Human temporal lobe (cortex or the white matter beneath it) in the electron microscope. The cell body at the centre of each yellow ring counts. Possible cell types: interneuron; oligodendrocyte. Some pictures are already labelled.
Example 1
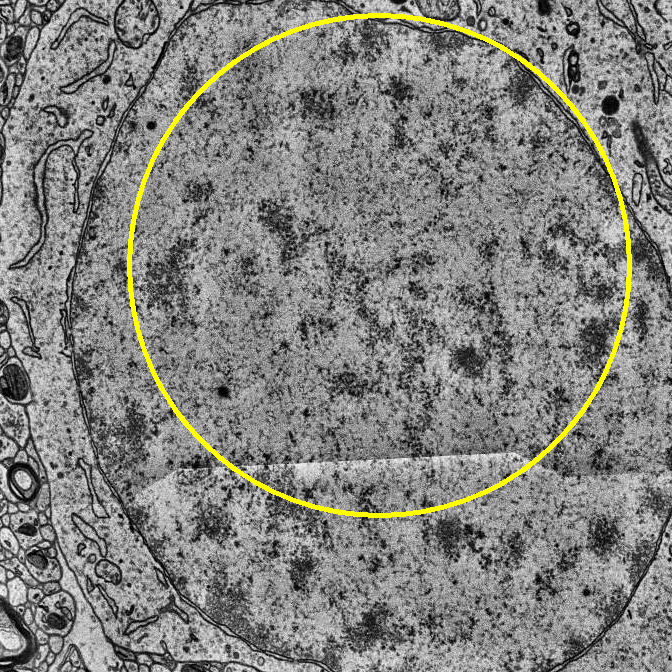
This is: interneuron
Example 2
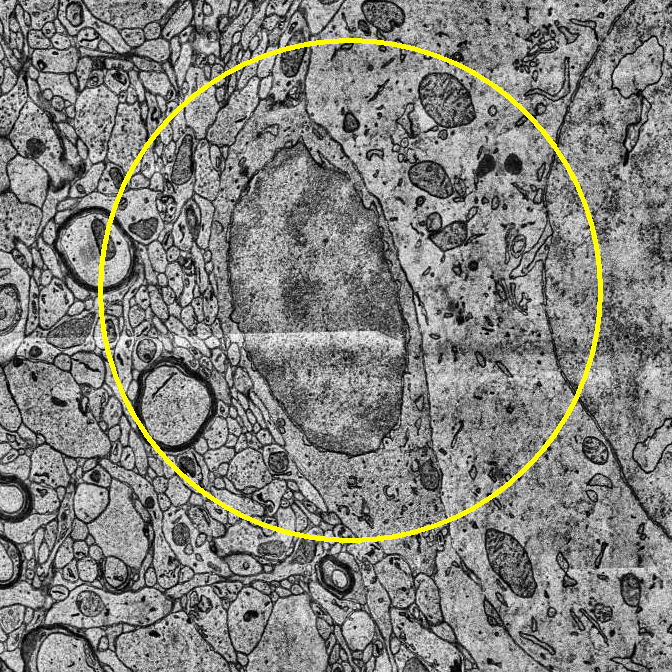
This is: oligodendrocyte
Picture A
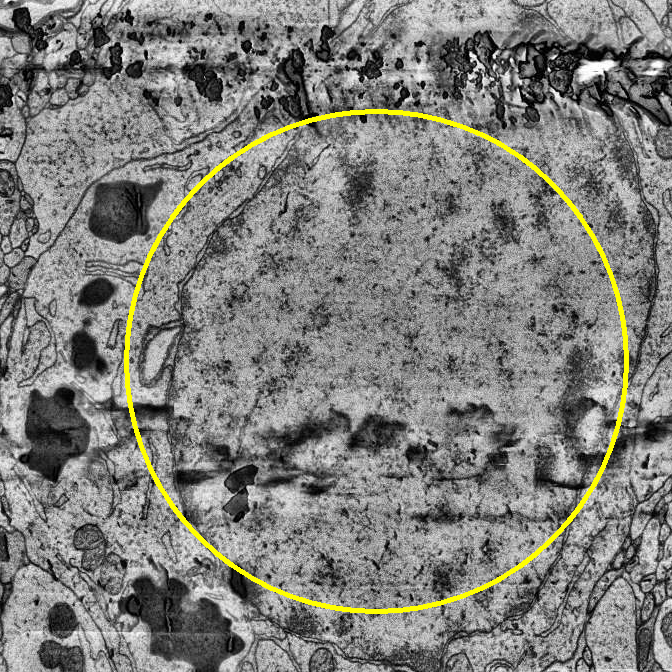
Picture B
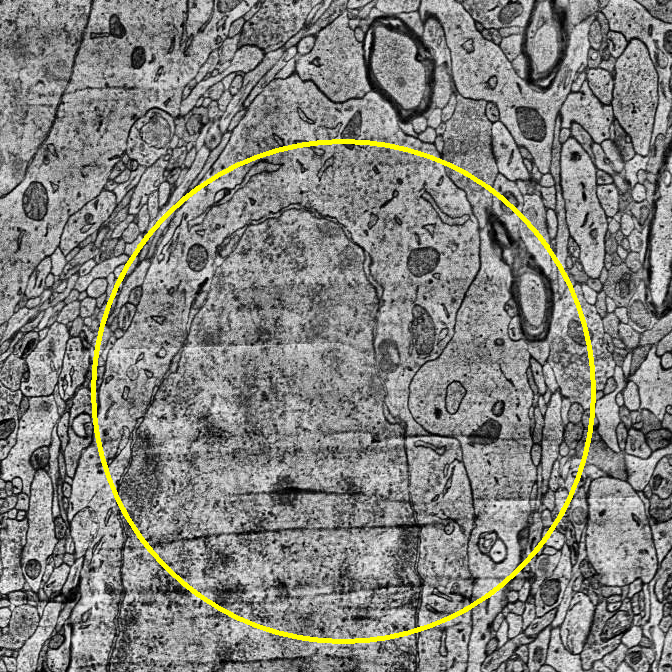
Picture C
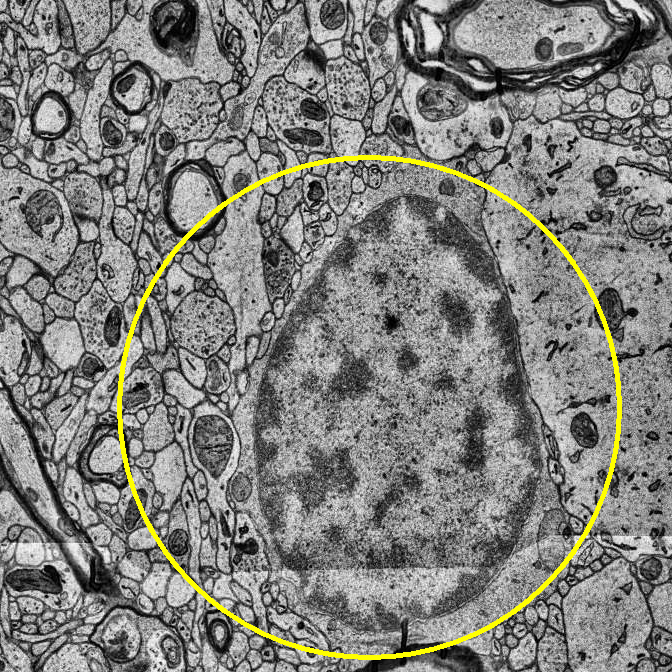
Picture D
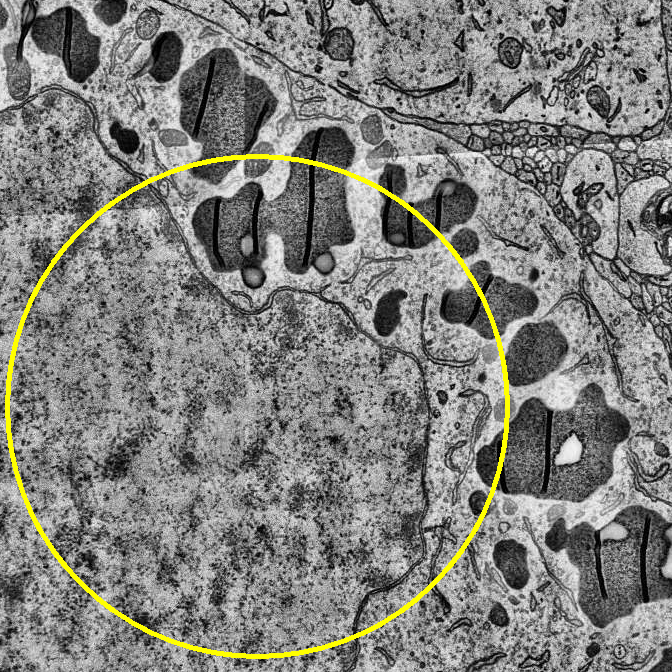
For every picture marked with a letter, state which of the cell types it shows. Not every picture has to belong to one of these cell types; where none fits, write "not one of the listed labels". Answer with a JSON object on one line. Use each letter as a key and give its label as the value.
{"A": "interneuron", "B": "interneuron", "C": "oligodendrocyte", "D": "interneuron"}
